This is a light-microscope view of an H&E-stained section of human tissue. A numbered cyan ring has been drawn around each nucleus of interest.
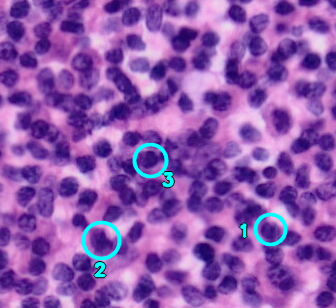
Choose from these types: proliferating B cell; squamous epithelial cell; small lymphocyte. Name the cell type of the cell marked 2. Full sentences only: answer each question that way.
The cell numbered 2 has been identified as a proliferating B cell.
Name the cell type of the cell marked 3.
The cell marked with the number 3 is a small lymphocyte.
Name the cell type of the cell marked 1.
Number 1 among the marked cells is a small lymphocyte.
